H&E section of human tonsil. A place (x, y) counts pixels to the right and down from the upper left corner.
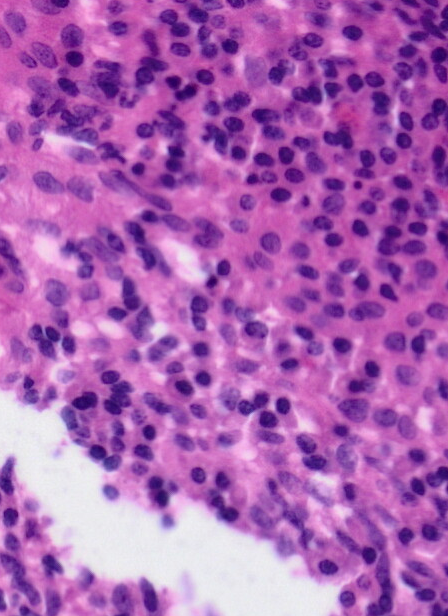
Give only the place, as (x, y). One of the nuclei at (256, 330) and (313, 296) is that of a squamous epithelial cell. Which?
(313, 296)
